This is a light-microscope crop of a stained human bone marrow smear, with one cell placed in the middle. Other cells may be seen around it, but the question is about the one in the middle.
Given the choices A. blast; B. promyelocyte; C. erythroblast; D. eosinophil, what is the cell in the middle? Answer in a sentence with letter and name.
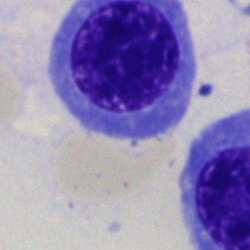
Identification: the cell in the middle is an erythroblast, matching option C.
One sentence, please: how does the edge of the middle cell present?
Smooth outline, no projections: that is the whole story of its edge.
